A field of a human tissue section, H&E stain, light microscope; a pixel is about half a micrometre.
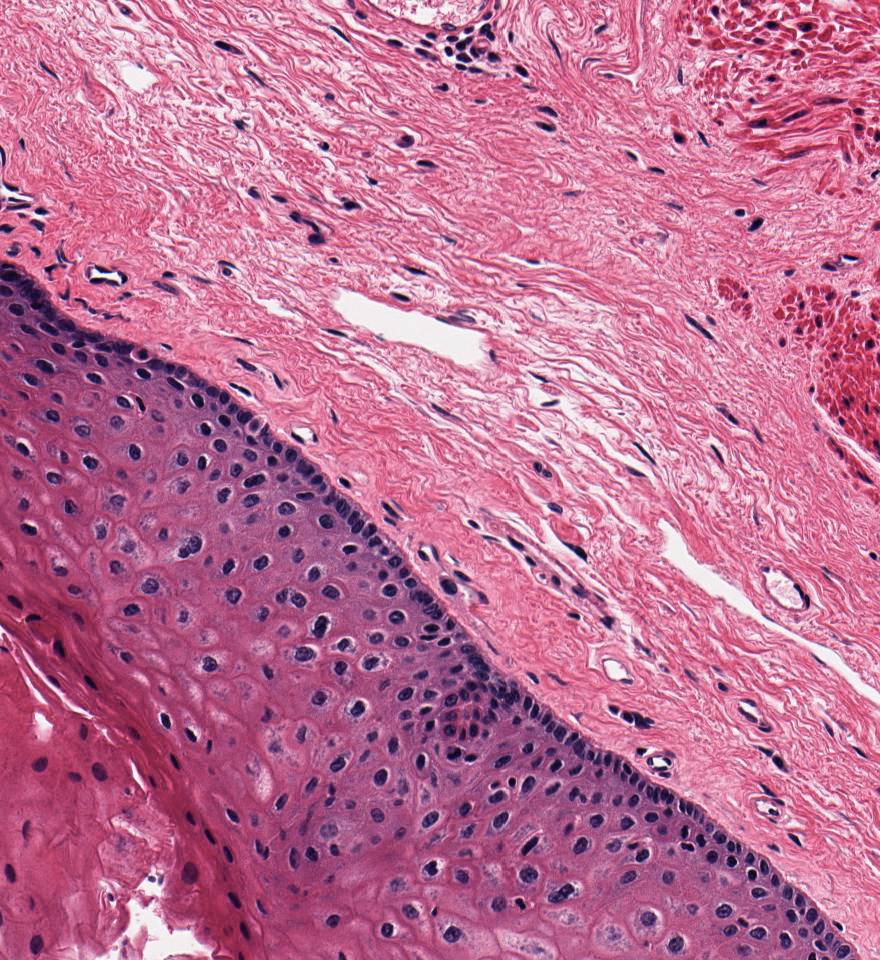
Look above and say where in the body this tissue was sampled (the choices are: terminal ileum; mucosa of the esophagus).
mucosa of the esophagus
